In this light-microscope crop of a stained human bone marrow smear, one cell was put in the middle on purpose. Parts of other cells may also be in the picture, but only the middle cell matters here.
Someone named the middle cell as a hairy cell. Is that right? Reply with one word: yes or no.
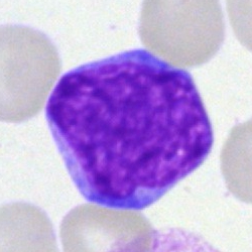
no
